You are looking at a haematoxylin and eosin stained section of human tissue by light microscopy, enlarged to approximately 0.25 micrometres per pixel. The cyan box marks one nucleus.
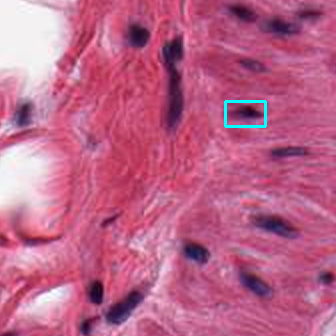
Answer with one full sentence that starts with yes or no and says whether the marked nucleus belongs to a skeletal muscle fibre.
No, it is not the nucleus of a skeletal muscle fibre that has been marked.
